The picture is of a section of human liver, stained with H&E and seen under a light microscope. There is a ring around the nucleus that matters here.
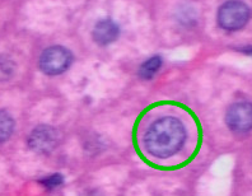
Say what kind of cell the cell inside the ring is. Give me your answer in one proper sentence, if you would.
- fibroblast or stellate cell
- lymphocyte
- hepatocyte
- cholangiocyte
As to its cell type, the cell inside the ring is a hepatocyte.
